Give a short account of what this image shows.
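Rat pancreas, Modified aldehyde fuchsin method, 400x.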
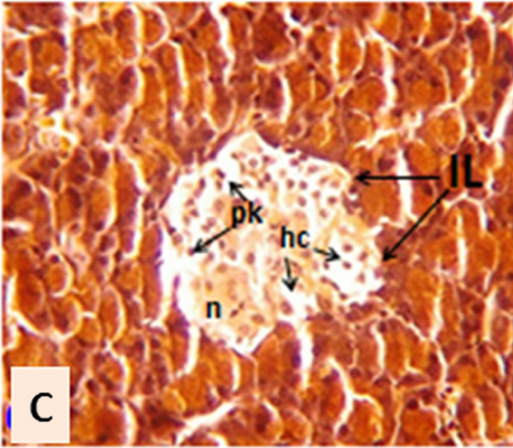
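A small, very pale cluster of cells lies within closely packed glandular cells with orange-brown granular cytoplasm. Many of the cells in the pale cluster have clear, swollen-looking cytoplasm, and some nuclei appear small and dark. Part of the cluster is almost empty, with little cell structure left.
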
